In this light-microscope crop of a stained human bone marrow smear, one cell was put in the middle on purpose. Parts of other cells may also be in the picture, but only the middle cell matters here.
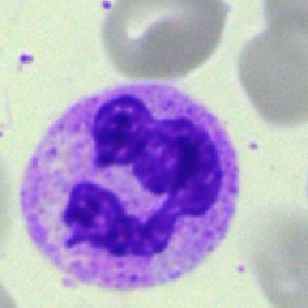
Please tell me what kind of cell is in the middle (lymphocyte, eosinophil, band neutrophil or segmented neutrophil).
segmented neutrophil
